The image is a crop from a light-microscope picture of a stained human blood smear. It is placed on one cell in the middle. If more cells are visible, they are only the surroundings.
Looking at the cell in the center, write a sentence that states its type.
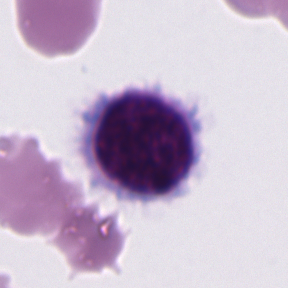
The central cell, amid any neighbouring cells, is a hairy cell.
